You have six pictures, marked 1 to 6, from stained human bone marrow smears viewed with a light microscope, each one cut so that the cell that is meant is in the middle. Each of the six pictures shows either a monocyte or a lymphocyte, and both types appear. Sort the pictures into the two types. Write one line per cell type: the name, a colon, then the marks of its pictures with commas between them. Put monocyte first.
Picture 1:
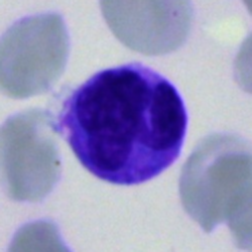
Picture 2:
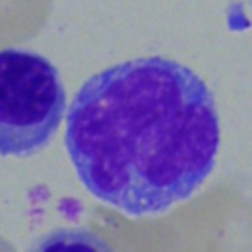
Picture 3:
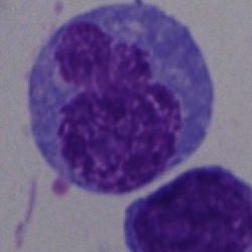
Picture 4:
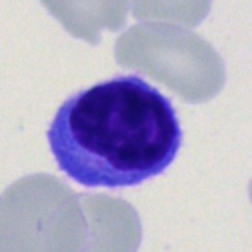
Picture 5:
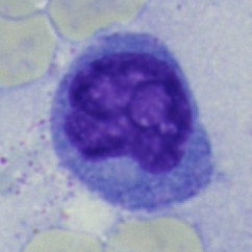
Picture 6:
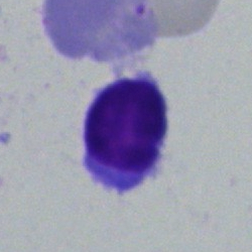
monocyte: 1, 2, 3, 5
lymphocyte: 4, 6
